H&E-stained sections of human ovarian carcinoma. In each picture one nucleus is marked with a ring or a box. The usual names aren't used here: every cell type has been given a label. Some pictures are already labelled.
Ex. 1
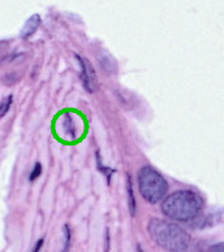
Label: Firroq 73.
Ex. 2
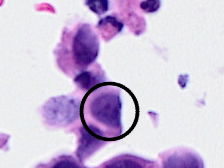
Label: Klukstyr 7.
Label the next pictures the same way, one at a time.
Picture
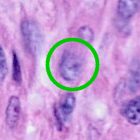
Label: Firroq 73.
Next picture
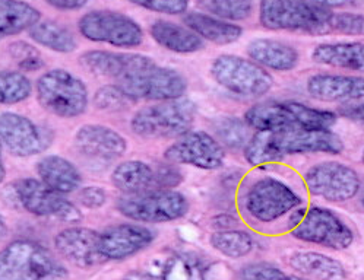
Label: Klukstyr 7.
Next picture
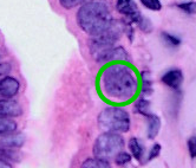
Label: Klukstyr 7.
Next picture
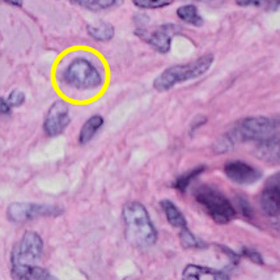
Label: Firroq 73.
